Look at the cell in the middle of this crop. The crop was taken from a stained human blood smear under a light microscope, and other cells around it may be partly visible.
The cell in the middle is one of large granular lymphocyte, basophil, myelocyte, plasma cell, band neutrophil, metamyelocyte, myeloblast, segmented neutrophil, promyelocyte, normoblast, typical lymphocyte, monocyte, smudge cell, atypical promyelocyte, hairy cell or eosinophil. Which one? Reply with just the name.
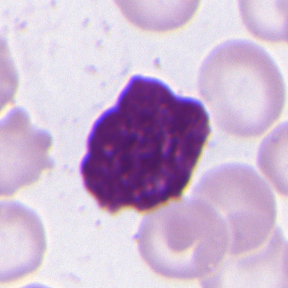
smudge cell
